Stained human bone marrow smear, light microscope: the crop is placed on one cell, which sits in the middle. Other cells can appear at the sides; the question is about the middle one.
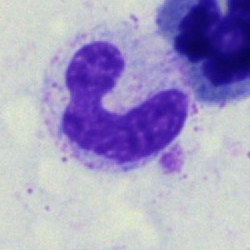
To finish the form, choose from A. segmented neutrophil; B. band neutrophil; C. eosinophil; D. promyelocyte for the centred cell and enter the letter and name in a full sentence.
That the central cell is a band neutrophil makes option B correct.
